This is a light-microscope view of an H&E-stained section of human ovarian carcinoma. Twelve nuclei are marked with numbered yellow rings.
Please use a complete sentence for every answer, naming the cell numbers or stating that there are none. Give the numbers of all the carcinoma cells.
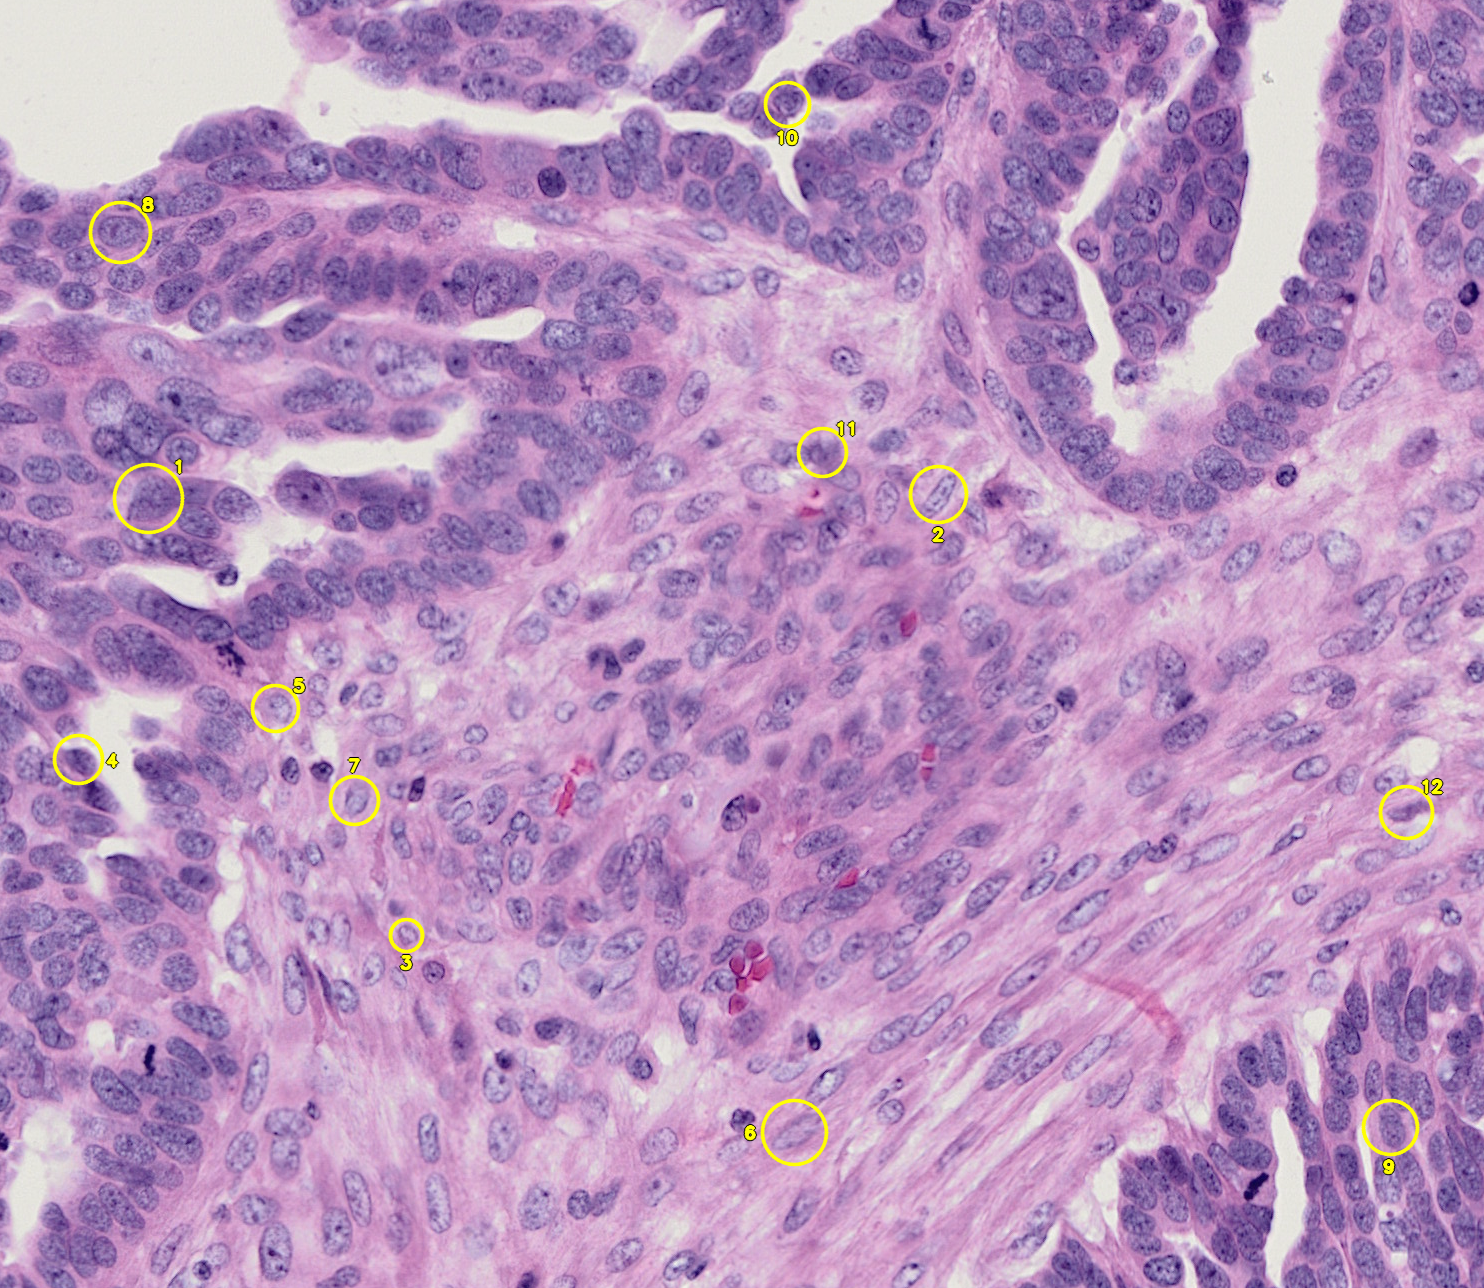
When it comes to cells 1, 4, 8, 9 and 10, they are carcinoma cells.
